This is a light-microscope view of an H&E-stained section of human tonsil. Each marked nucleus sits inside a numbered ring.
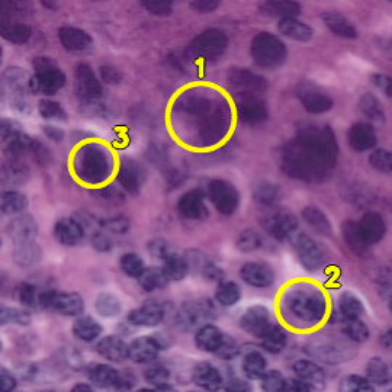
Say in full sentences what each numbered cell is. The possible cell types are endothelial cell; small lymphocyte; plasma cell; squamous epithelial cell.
Cell 1 is a squamous epithelial cell, cell 2 is a plasma cell and cell 3 is a squamous epithelial cell.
